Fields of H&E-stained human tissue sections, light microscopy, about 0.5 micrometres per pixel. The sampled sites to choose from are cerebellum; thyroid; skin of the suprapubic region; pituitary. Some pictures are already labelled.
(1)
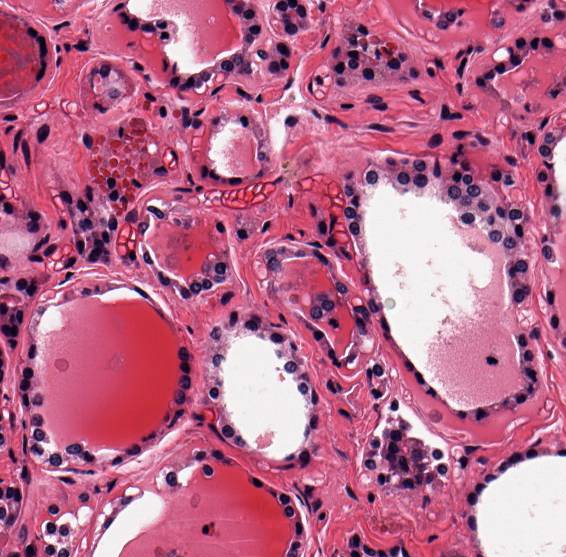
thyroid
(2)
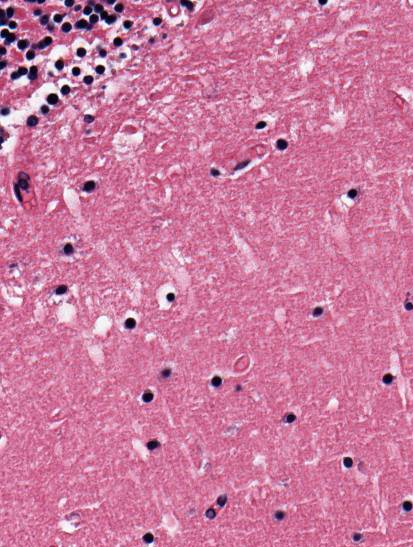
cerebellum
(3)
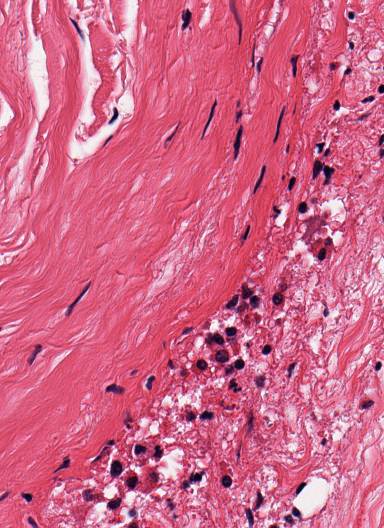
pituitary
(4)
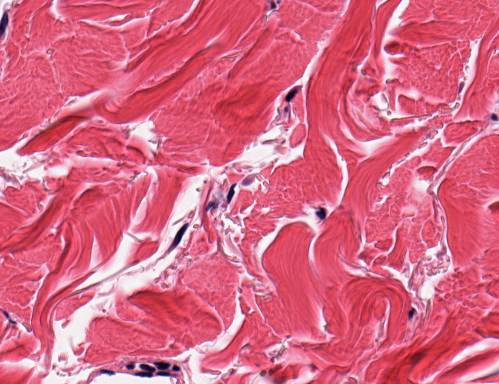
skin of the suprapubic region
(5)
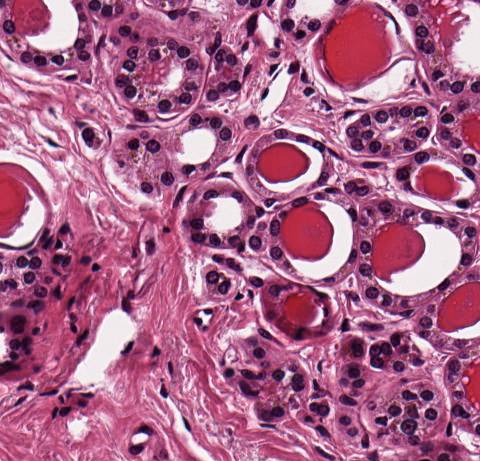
thyroid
